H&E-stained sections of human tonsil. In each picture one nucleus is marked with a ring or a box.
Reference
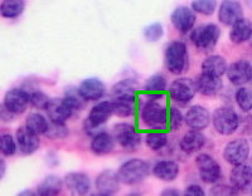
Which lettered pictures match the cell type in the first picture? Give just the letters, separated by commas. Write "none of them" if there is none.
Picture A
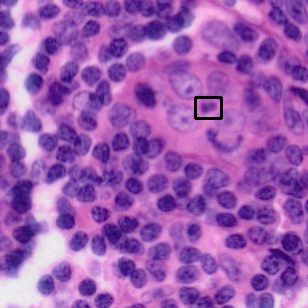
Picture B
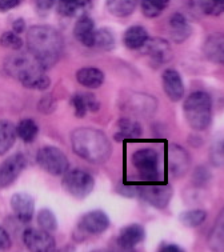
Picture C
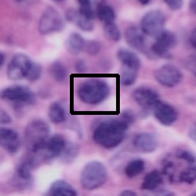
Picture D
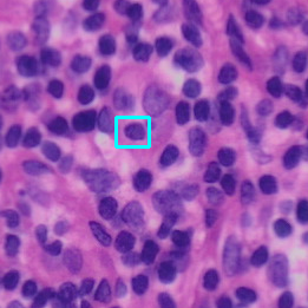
none of them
